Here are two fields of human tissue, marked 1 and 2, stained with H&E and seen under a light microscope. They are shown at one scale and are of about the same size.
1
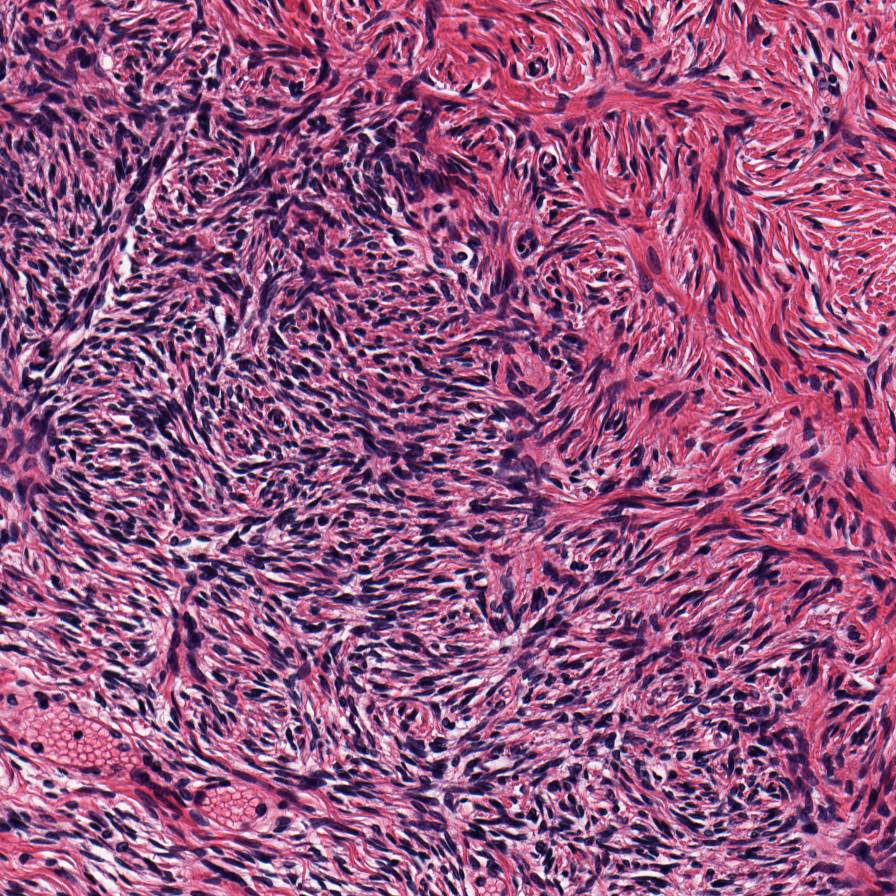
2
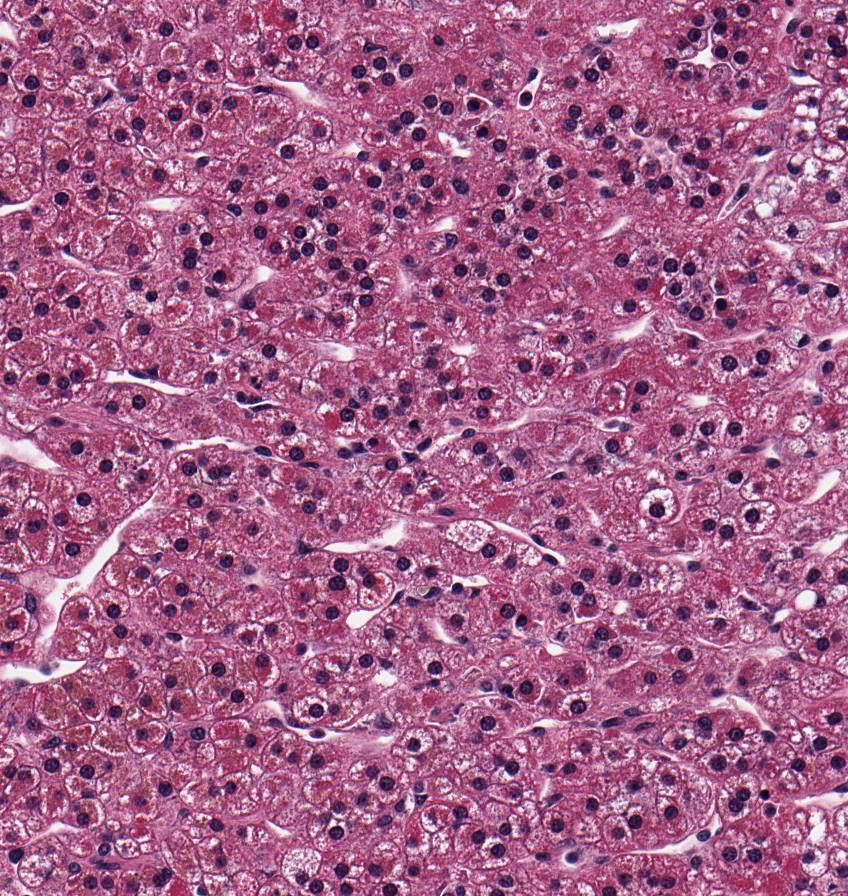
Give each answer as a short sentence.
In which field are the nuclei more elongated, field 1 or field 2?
Longer, more slender nuclei lie in field 1.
